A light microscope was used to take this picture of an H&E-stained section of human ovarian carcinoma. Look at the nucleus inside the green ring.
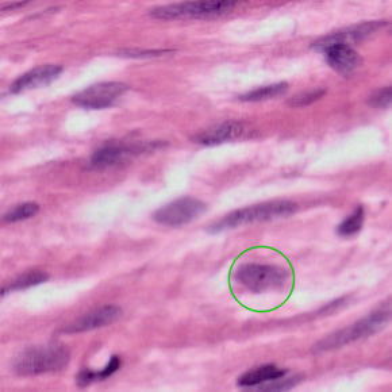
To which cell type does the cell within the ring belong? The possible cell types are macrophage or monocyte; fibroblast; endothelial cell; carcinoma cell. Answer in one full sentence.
Within the stained tissue, the cell within the ring is a fibroblast.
